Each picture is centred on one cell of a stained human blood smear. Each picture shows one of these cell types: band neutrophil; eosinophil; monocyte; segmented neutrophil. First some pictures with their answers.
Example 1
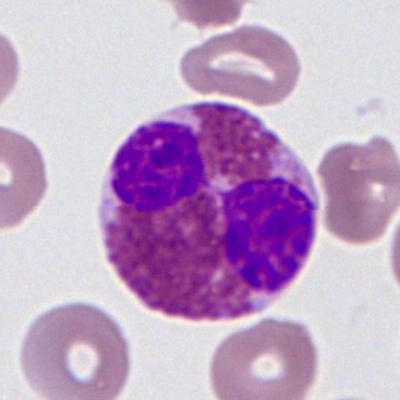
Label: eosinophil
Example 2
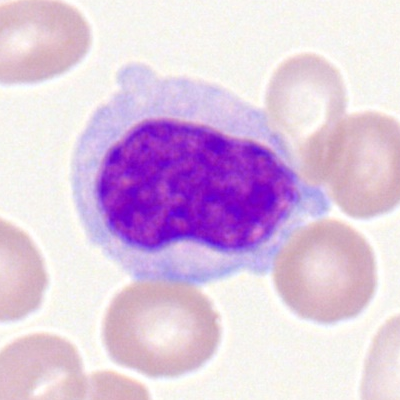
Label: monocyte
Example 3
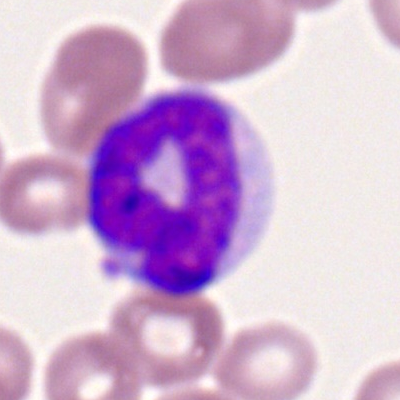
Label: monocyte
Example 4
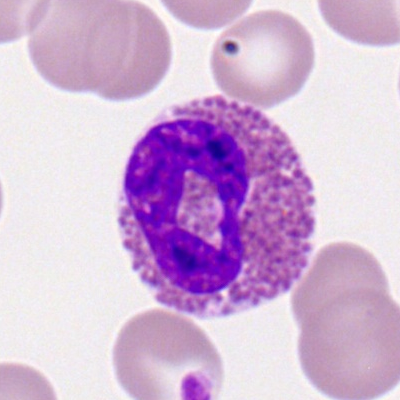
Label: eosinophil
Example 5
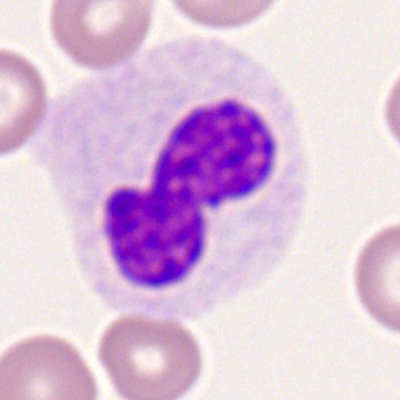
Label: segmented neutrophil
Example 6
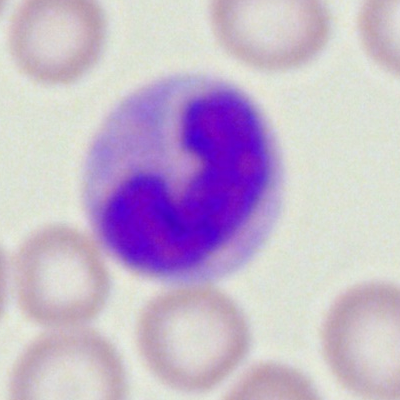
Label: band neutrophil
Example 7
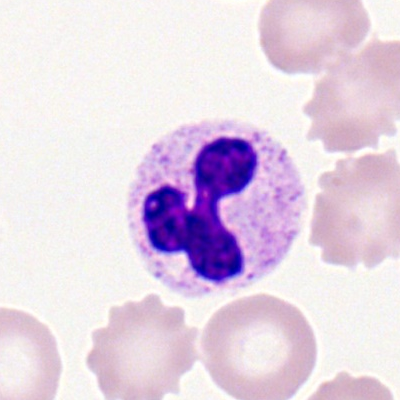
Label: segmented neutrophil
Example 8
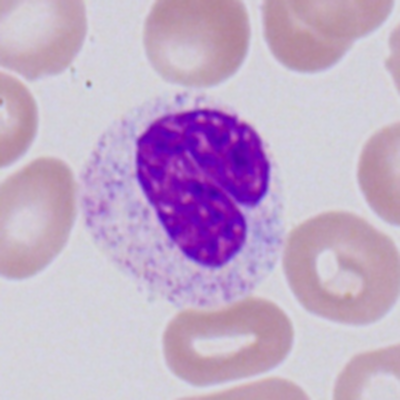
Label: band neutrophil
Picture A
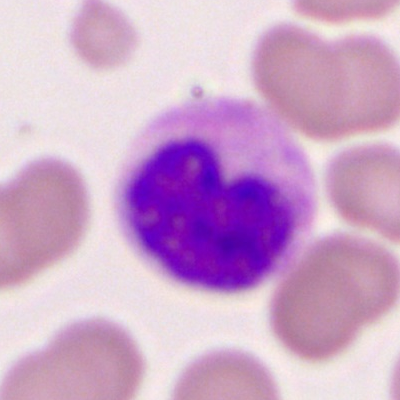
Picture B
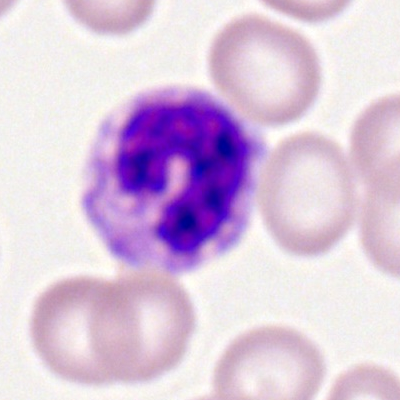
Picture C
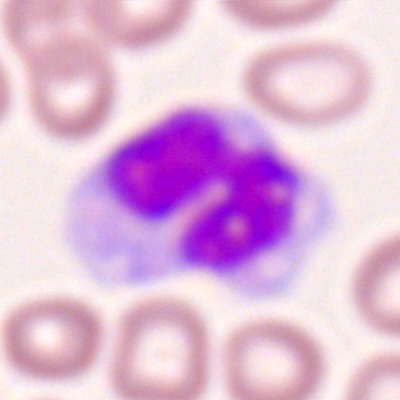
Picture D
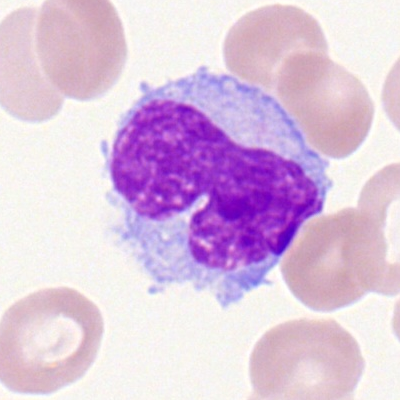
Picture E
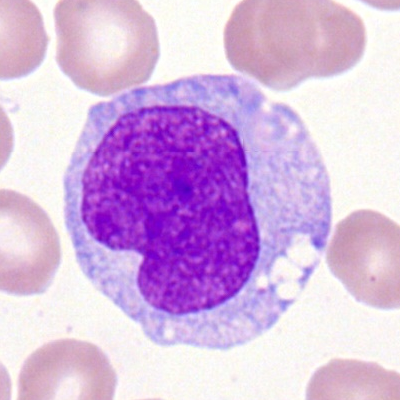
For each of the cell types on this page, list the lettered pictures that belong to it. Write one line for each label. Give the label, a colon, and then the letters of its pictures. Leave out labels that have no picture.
band neutrophil: A, B
monocyte: C, D, E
